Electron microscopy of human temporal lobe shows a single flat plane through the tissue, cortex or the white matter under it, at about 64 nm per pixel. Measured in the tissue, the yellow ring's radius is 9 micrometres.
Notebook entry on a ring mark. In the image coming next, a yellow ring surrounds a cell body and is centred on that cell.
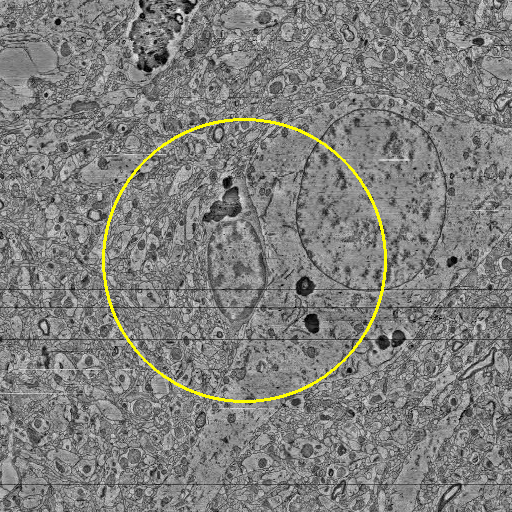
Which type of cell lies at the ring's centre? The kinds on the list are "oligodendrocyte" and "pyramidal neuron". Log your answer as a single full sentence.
Centred in the yellow ring is an oligodendrocyte, the cell recorded for this image.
